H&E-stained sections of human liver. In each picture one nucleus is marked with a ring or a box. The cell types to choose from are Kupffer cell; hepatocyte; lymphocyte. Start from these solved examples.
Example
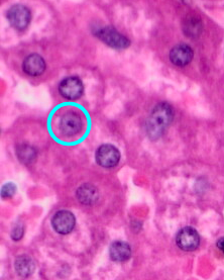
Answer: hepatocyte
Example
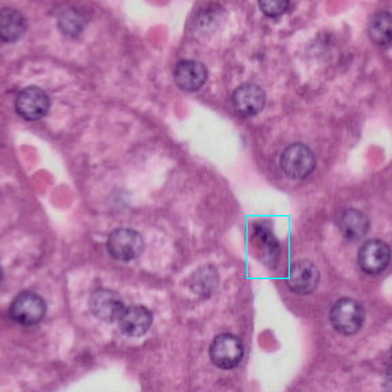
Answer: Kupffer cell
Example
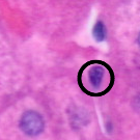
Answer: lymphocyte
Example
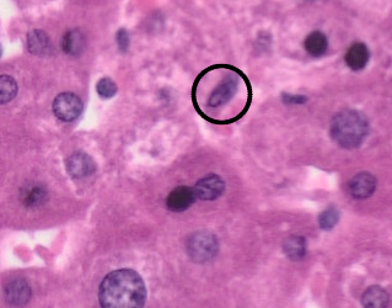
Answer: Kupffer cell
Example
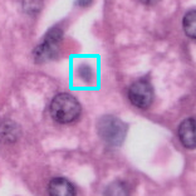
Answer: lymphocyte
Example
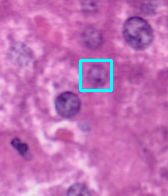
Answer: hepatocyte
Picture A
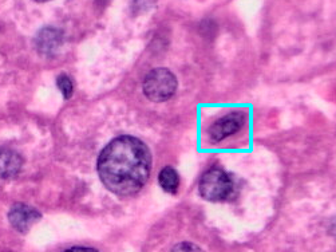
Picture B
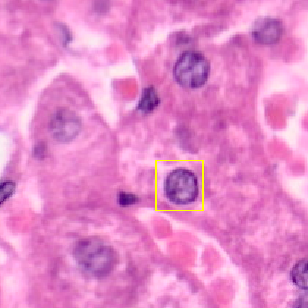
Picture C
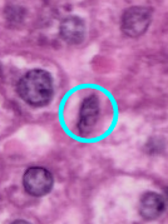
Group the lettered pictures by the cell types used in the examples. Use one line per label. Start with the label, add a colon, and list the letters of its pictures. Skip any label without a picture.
Kupffer cell: A, C
hepatocyte: B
